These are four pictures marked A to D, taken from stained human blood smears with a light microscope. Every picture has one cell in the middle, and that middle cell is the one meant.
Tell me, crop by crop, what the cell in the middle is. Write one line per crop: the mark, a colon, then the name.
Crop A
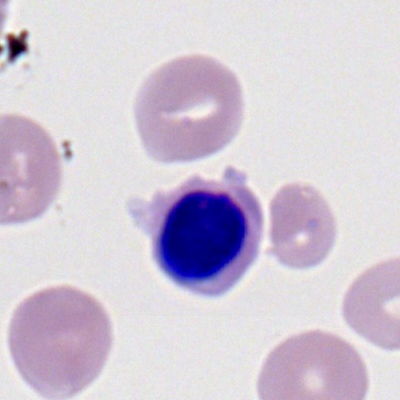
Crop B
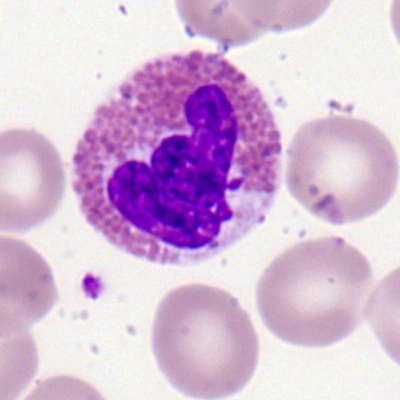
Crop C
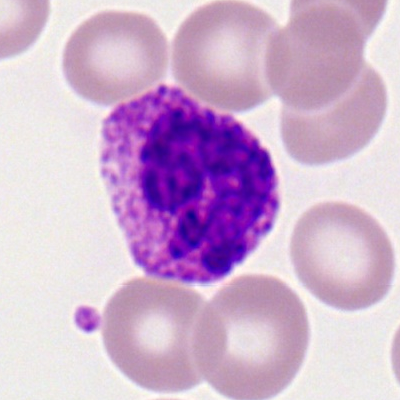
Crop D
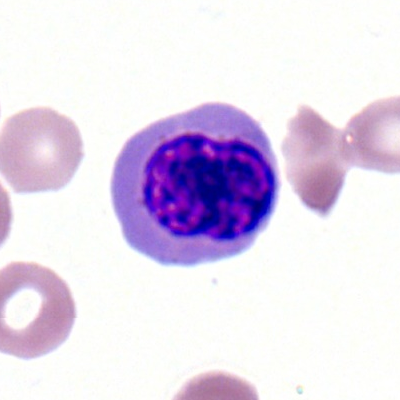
A: erythroblast
B: eosinophil
C: basophil
D: erythroblast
